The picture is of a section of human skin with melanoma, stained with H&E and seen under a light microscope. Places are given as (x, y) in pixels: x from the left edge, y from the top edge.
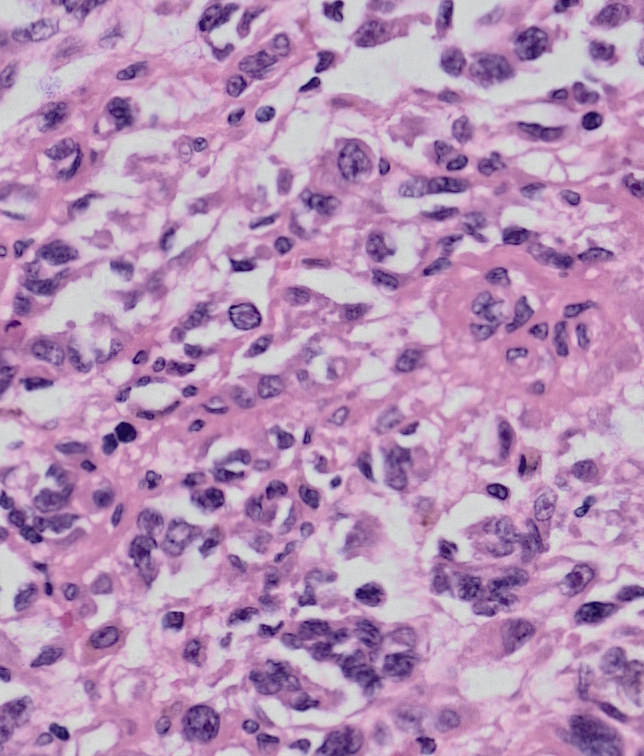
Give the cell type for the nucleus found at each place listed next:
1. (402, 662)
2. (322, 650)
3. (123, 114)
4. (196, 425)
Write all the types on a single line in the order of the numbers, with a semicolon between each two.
melanoma cell; melanoma cell; melanoma cell; lymphocyte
